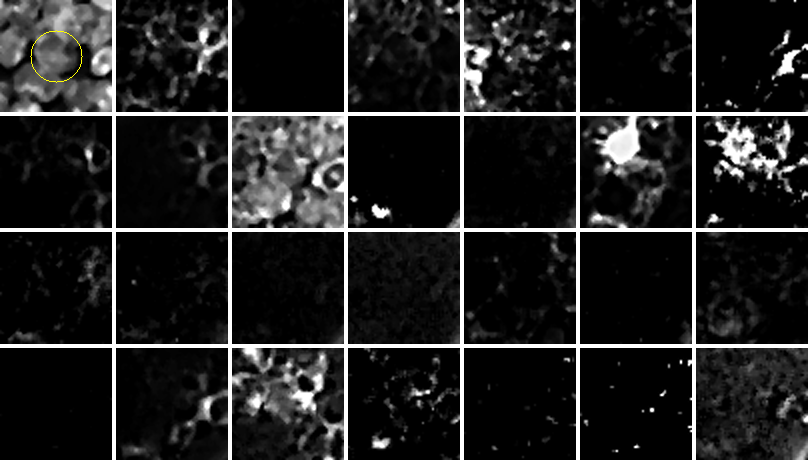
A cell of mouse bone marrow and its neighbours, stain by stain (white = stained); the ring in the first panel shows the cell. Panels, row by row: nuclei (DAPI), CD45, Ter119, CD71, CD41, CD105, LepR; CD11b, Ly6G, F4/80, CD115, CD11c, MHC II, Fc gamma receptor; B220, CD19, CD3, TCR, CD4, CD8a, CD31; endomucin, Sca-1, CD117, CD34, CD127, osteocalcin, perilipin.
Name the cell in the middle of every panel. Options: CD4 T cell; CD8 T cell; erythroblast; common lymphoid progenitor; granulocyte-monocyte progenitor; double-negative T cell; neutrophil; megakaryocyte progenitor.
granulocyte-monocyte progenitor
